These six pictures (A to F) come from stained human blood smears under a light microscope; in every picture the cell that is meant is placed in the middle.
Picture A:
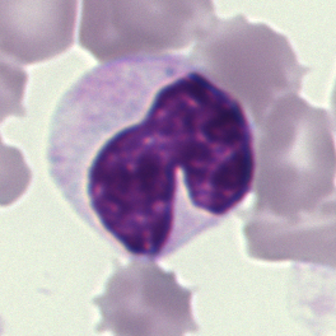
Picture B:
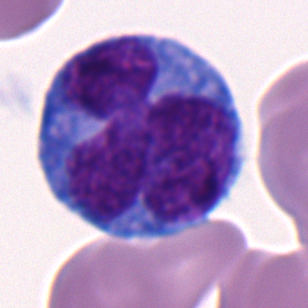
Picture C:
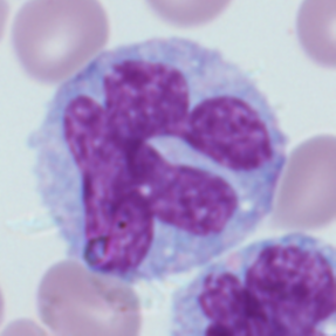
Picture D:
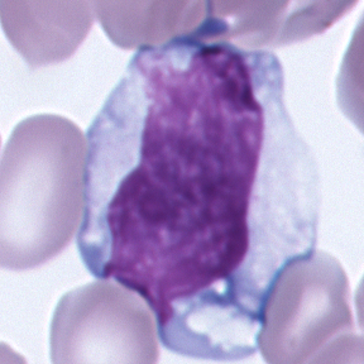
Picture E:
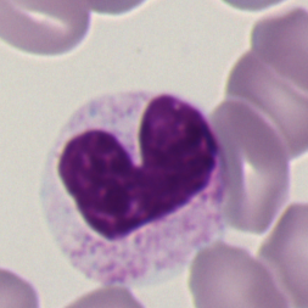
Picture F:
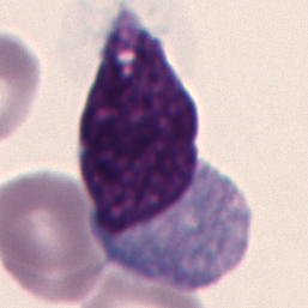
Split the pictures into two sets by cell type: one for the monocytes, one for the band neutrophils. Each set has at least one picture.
A: band neutrophil
B: monocyte
C: monocyte
D: monocyte
E: band neutrophil
F: monocyte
